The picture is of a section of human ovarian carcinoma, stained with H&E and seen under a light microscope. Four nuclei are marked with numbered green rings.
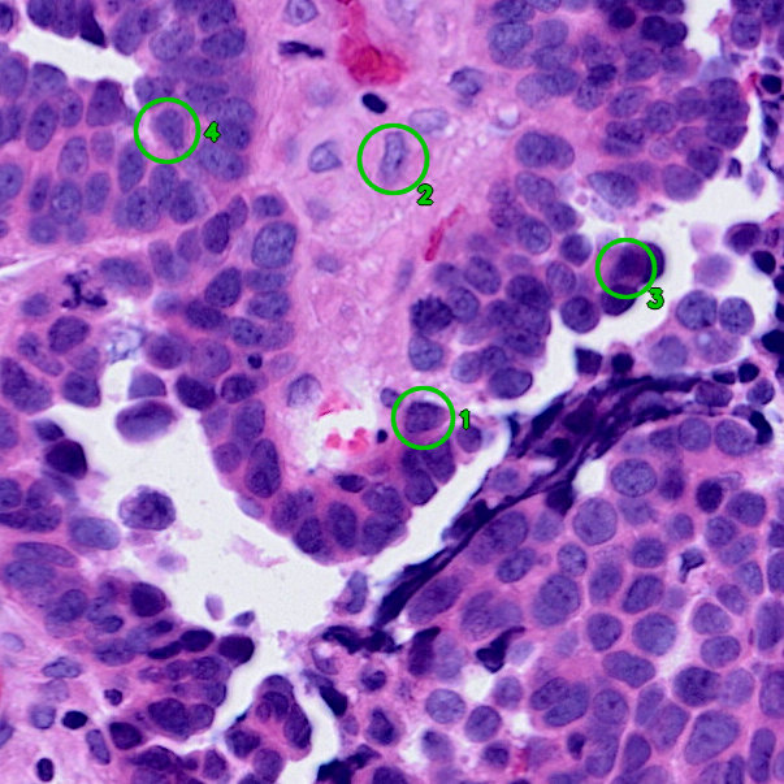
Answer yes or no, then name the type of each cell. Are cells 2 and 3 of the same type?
No, cell number 2 is a fibroblast, and cell number 3 is a carcinoma cell.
